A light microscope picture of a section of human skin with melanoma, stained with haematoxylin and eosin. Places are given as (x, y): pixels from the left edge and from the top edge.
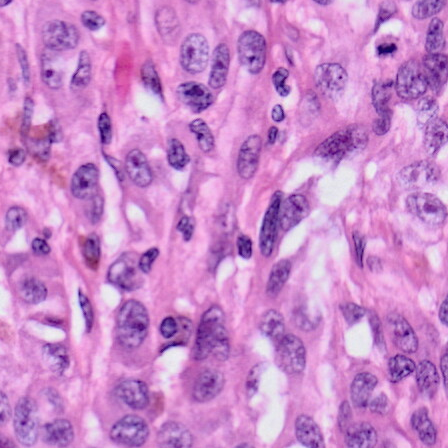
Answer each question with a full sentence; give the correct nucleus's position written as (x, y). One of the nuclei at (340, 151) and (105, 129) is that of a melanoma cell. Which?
The nucleus at (340, 151) is assigned to a melanoma cell.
